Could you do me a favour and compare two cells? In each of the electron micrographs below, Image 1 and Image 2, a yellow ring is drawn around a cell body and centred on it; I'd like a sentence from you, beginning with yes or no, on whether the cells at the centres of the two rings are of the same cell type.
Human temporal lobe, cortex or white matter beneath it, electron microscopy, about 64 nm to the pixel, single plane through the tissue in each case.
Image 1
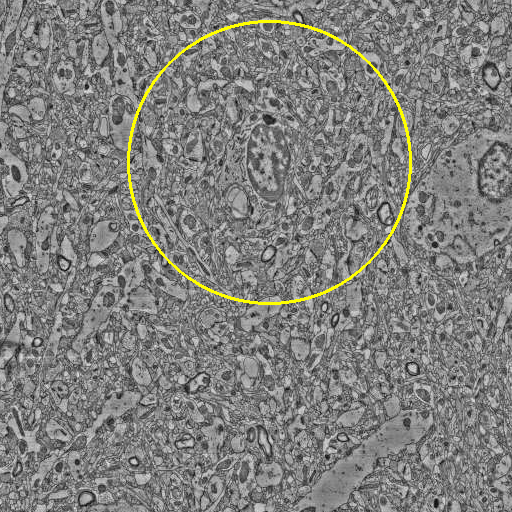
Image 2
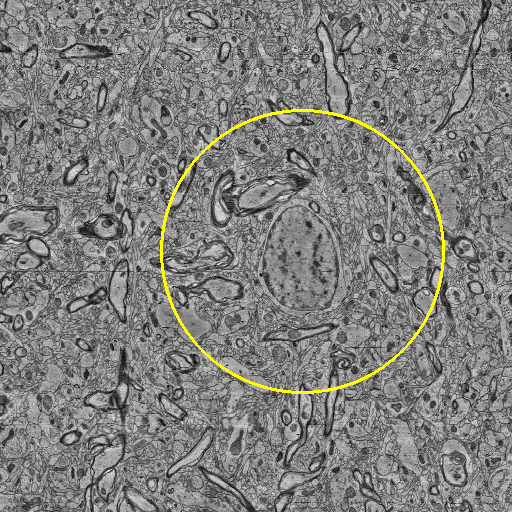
Yes, the two cells are of the same cell type.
